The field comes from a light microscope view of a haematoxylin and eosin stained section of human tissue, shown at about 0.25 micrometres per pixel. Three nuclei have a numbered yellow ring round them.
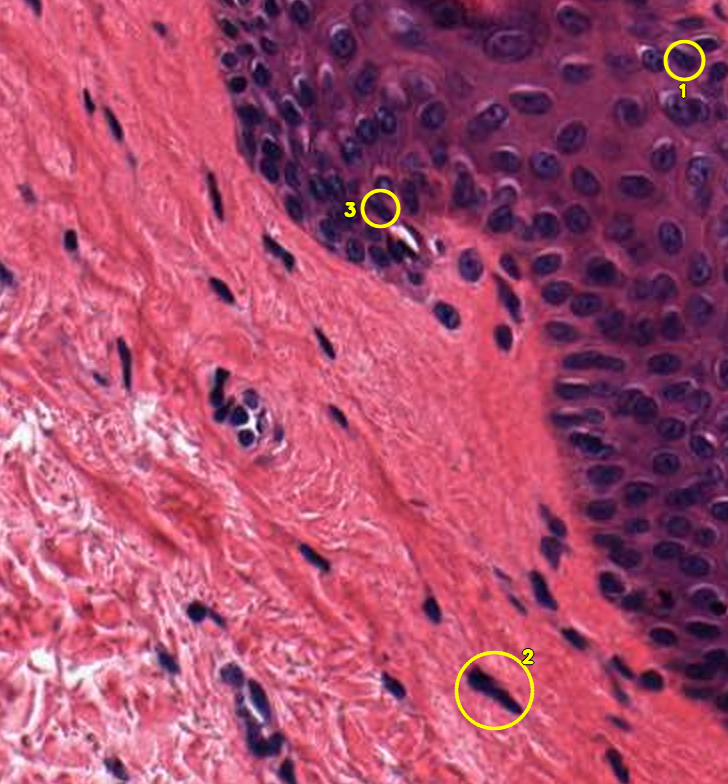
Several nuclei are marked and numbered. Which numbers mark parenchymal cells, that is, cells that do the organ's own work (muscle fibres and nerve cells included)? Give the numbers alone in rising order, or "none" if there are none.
1, 3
